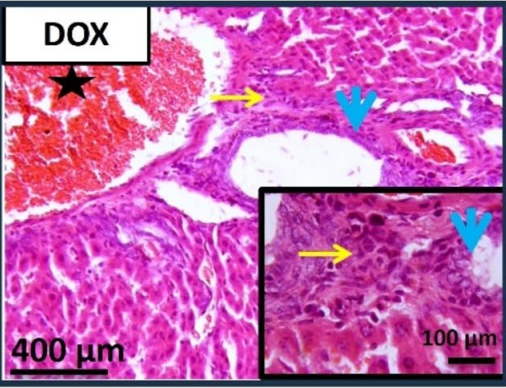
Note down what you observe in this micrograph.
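Liver portal area with a widened portal tract, a congested vessel and reactive bile ducts set in fibrous tissue. The inset shows this periductal area at higher power, with tightly packed cells with dark nuclei and fibrous strands. Around the portal tract, pink hepatocytes with round central nuclei form plates separated by sinusoids.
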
